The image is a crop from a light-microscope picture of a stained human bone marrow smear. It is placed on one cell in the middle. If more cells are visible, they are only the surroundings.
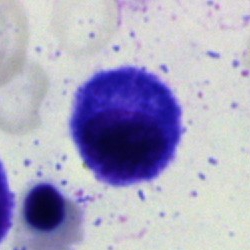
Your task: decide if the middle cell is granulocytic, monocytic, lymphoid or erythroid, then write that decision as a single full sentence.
Attributed to the lymphoid lineage is the centrally located cell.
